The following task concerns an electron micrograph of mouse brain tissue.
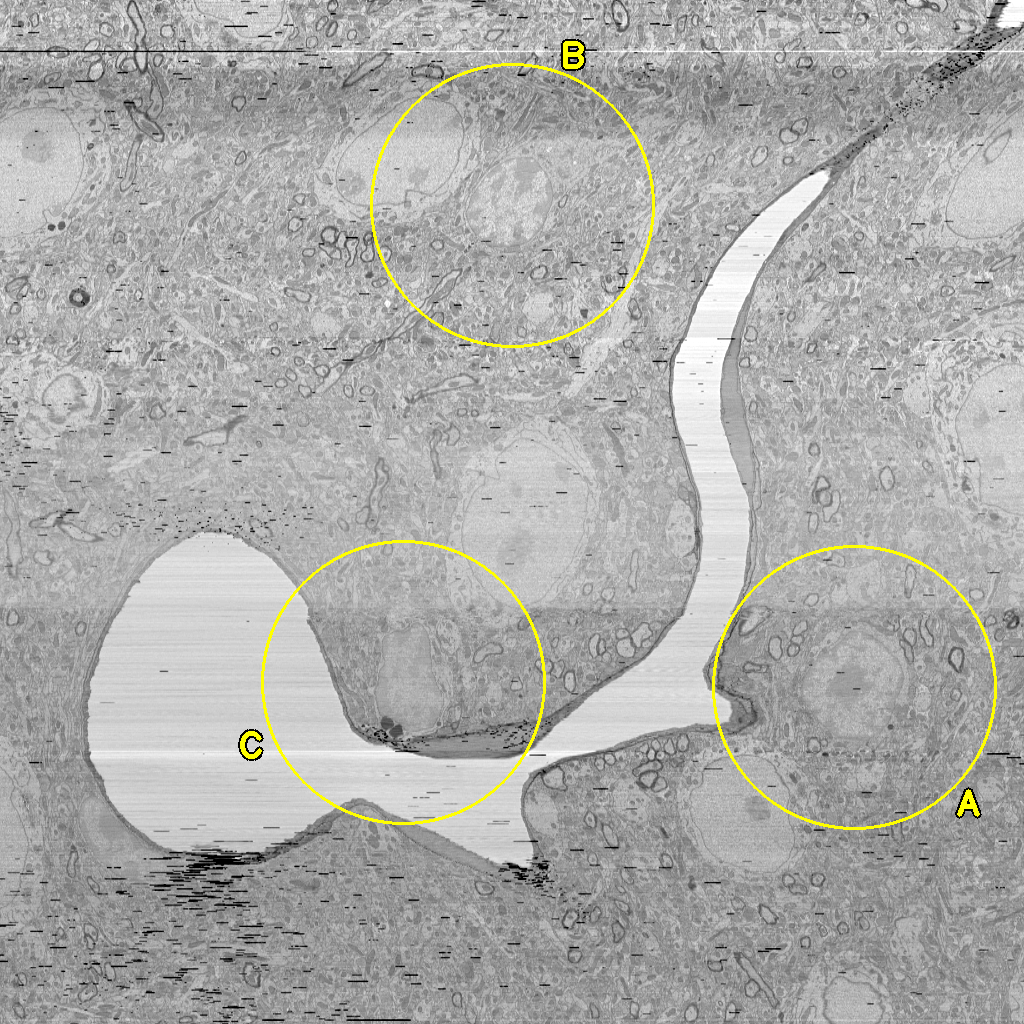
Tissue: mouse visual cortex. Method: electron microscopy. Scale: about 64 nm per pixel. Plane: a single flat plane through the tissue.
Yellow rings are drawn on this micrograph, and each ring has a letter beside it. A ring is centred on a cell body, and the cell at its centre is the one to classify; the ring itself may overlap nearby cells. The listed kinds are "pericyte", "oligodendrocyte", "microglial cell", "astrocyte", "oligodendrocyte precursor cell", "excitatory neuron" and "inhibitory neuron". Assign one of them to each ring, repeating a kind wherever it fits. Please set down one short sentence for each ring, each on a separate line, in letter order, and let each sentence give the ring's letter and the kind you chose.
The cell ringed as A is an oligodendrocyte.
The cell ringed as B is an oligodendrocyte.
The cell ringed as C is a microglial cell.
